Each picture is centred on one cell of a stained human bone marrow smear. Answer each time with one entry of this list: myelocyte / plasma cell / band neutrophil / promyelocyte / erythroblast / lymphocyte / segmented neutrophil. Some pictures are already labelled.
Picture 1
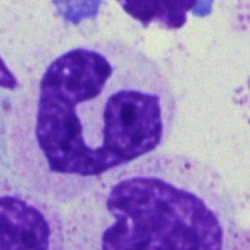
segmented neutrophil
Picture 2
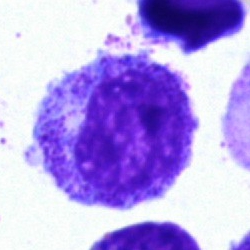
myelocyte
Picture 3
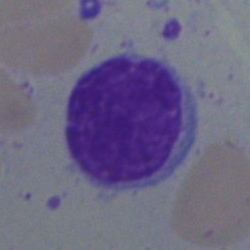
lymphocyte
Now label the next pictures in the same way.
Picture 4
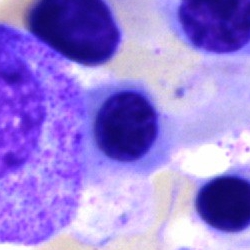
erythroblast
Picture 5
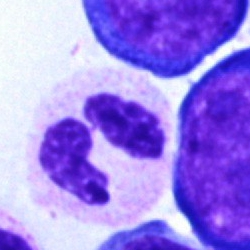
segmented neutrophil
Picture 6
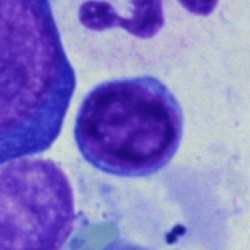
lymphocyte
